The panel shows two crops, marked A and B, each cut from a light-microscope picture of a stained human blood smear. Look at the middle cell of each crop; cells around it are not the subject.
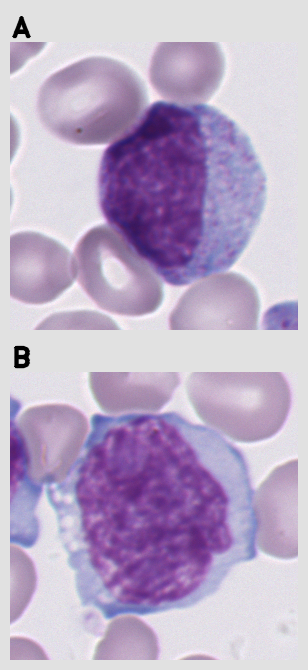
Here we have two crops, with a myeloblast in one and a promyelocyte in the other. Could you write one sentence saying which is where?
Crop A is designated a promyelocyte, and crop B is designated a myeloblast.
